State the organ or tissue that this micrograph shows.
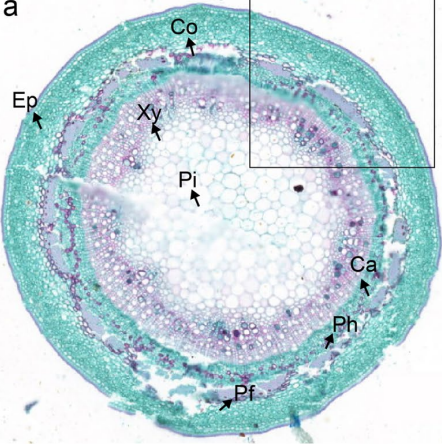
Stems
